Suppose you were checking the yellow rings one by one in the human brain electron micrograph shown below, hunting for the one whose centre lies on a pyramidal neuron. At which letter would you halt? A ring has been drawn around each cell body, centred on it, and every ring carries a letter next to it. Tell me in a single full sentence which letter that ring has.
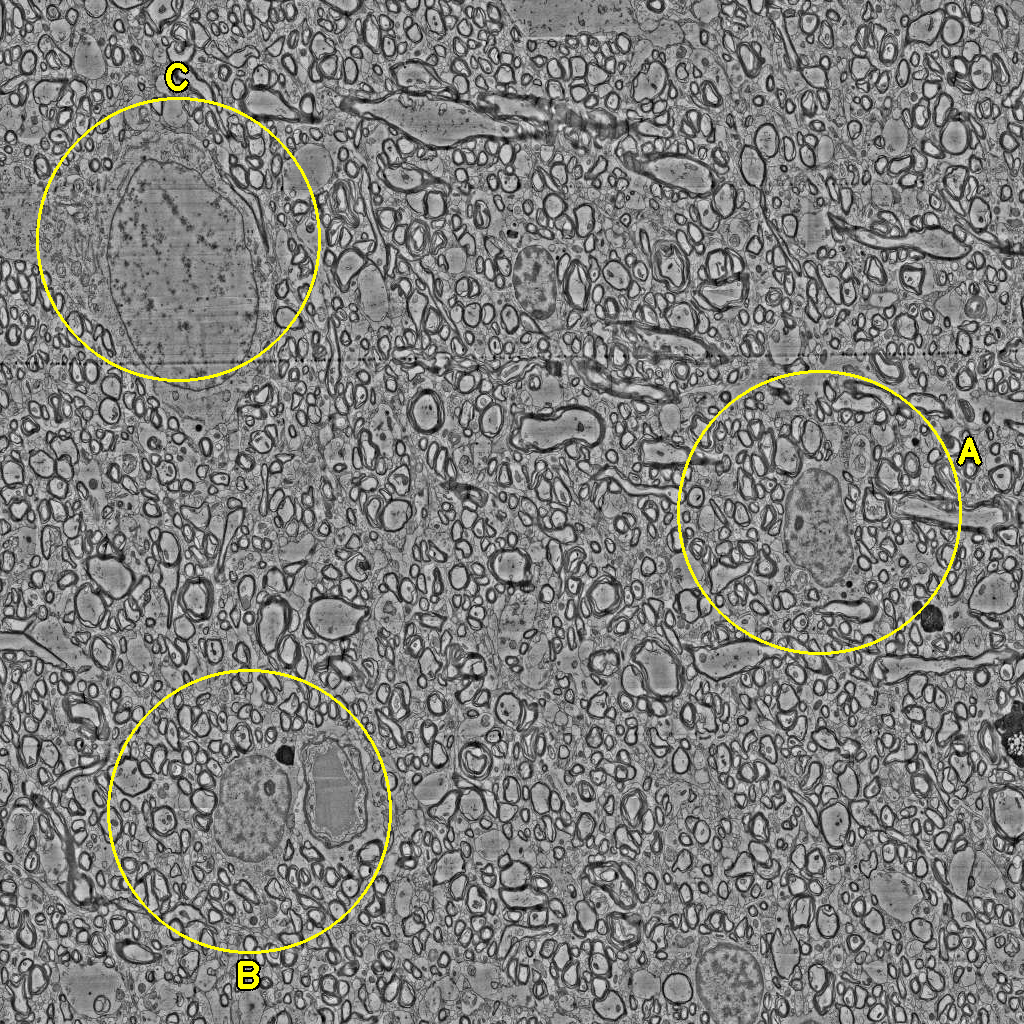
Going through the rings, I would stop at ring C, the one centred on the cell asked for.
